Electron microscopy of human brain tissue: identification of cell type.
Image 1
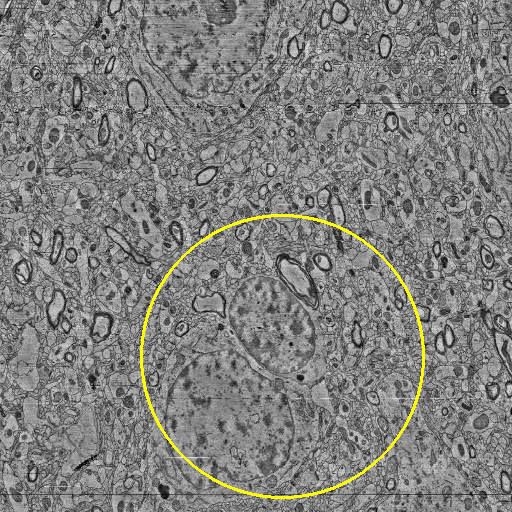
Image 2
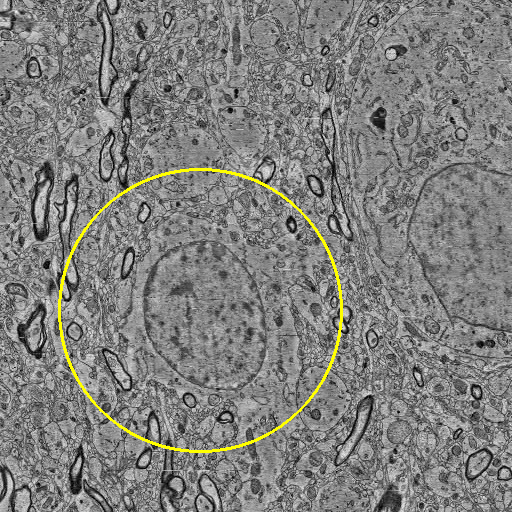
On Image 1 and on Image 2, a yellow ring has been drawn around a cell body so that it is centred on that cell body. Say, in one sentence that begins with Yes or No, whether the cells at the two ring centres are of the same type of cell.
No, the two cells are two separate types of cell.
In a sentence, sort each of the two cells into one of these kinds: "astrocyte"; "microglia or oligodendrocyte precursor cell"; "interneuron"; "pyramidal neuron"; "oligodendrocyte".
The first of the two cells is an oligodendrocyte, and the second is an astrocyte.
